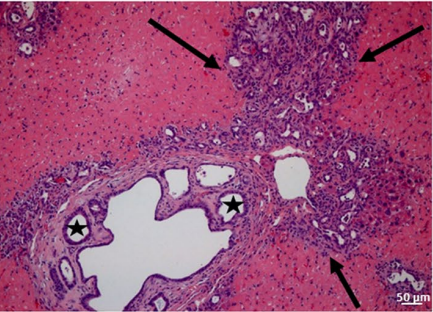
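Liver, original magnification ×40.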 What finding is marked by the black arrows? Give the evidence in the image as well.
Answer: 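Bile ductular reaction. The arrows mark a dense region of many small ductules with dark nuclei. The region extends into the surrounding pink hepatocyte parenchyma.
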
